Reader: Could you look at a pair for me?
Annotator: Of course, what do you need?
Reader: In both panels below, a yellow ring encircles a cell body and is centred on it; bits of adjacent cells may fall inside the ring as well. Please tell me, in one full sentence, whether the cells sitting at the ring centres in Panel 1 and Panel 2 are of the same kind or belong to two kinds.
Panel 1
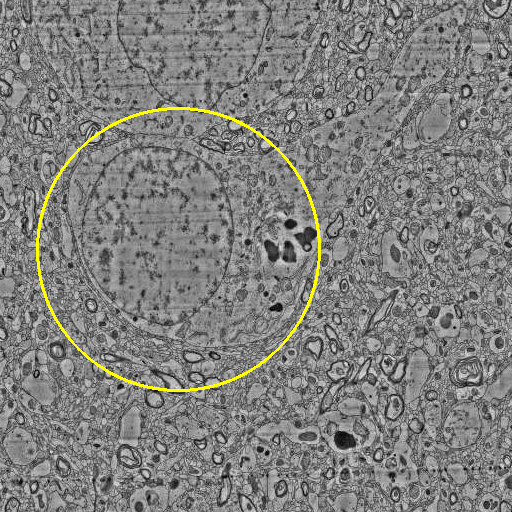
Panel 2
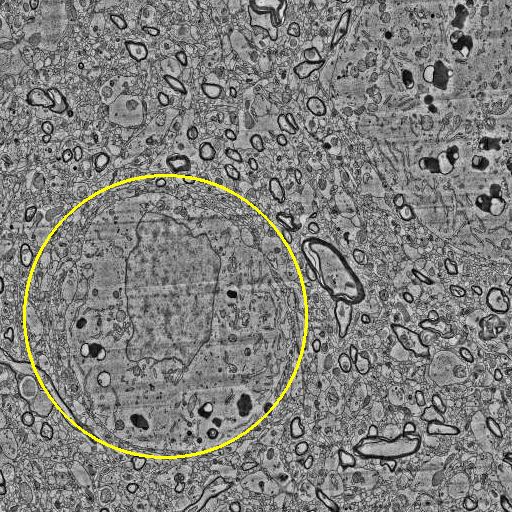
The cell at the ring's centre in Panel 1 and the one in Panel 2 are of the same kind.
